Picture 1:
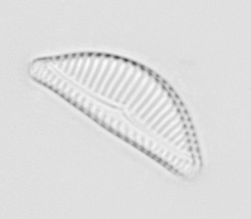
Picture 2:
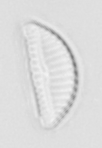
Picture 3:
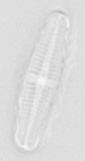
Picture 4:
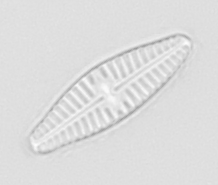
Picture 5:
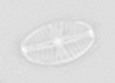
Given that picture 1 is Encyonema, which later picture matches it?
2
